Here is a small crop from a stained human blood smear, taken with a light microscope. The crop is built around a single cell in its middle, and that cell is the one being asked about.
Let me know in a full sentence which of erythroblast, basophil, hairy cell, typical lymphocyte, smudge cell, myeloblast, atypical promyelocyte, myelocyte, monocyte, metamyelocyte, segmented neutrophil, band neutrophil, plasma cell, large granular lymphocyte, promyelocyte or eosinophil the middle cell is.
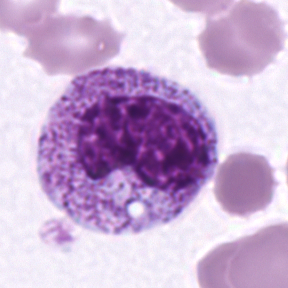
The middle of this crop is occupied by a metamyelocyte.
